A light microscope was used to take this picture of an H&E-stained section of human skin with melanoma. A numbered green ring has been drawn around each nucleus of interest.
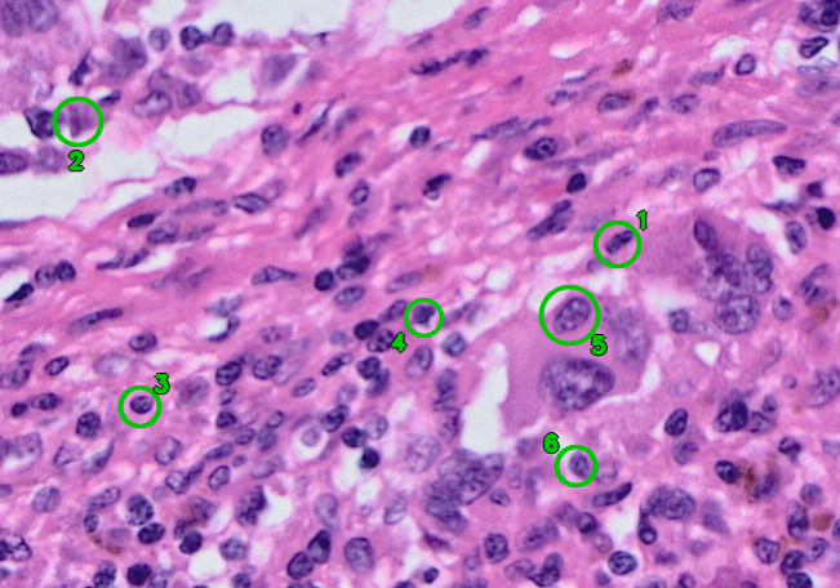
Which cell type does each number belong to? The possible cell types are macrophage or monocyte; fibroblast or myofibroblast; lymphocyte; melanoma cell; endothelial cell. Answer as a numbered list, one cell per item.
1. lymphocyte
2. melanoma cell
3. lymphocyte
4. lymphocyte
5. melanoma cell
6. lymphocyte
